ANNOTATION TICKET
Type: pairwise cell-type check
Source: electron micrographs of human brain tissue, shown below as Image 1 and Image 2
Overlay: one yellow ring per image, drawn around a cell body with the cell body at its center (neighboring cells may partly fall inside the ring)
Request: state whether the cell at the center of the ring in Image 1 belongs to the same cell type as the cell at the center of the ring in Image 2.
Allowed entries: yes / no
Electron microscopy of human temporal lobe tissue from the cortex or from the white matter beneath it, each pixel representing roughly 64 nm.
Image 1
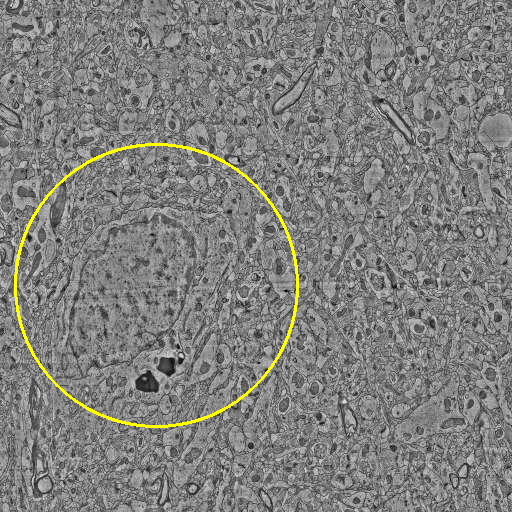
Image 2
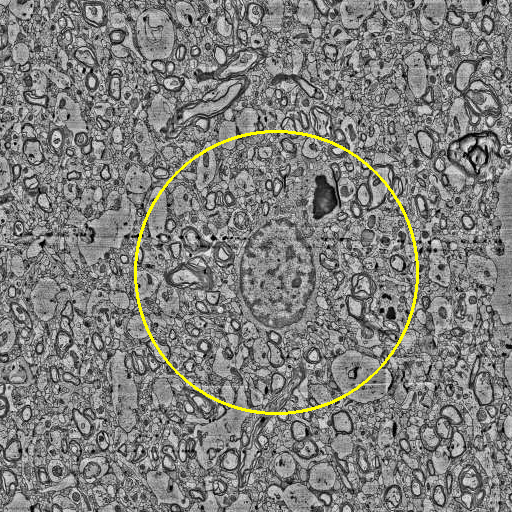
no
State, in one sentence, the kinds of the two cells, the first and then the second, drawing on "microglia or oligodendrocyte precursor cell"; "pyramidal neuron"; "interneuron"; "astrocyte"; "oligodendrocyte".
The ring in the second picture is centred on an oligodendrocyte, the ring in the first on an interneuron.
